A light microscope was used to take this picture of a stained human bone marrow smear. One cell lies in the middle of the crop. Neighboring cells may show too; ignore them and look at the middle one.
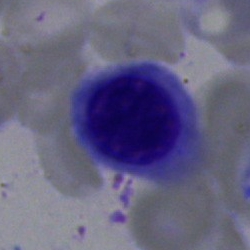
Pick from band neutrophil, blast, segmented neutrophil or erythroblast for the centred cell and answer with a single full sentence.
The cell found in the middle of this crop is an erythroblast.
